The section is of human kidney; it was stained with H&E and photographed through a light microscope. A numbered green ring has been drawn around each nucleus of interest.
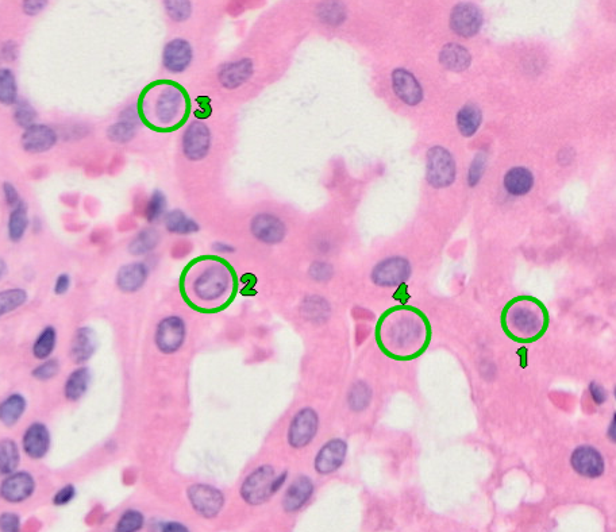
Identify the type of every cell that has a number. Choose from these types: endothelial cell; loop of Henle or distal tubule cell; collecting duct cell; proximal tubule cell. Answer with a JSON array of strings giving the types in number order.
["proximal tubule cell", "proximal tubule cell", "collecting duct cell", "proximal tubule cell"]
